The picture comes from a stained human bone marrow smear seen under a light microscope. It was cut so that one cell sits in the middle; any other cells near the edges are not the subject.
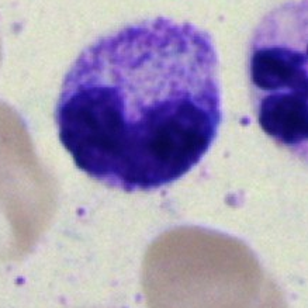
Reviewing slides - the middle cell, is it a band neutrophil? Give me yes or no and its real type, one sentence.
Yes, the cell shown in the middle is a band neutrophil.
